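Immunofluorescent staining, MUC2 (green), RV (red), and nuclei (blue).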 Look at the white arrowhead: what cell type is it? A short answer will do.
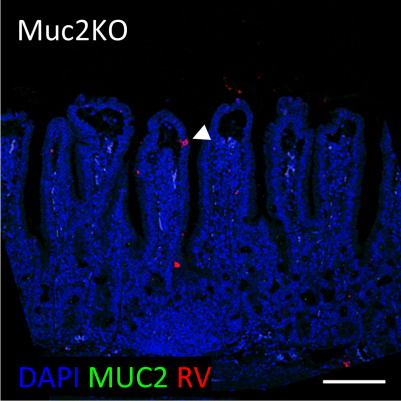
Enterocyte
